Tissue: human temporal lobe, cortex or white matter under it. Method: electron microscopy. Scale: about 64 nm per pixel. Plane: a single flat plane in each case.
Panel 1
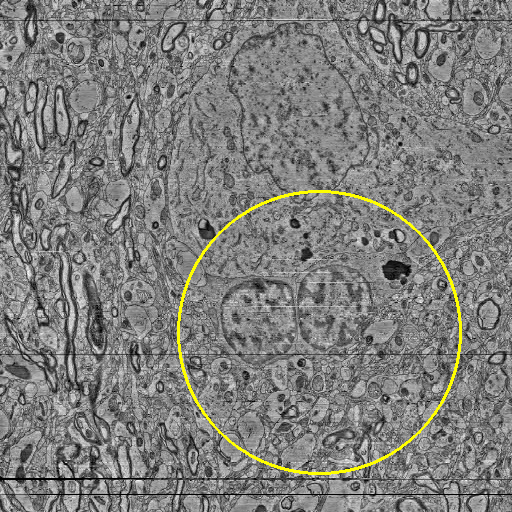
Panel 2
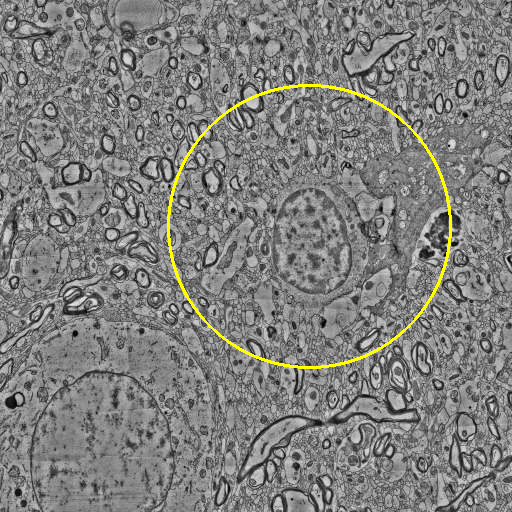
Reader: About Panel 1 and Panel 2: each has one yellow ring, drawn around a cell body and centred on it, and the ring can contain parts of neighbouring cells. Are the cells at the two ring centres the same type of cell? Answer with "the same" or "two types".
the same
